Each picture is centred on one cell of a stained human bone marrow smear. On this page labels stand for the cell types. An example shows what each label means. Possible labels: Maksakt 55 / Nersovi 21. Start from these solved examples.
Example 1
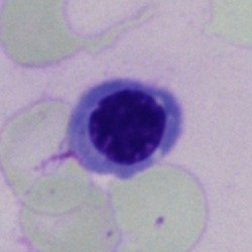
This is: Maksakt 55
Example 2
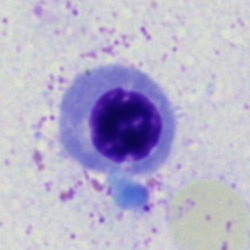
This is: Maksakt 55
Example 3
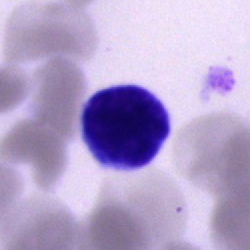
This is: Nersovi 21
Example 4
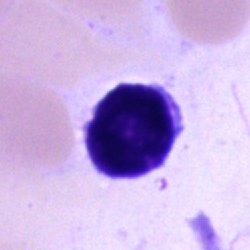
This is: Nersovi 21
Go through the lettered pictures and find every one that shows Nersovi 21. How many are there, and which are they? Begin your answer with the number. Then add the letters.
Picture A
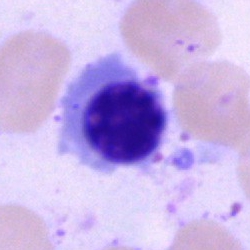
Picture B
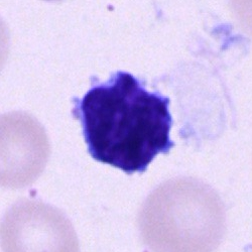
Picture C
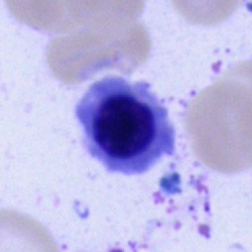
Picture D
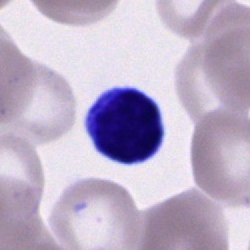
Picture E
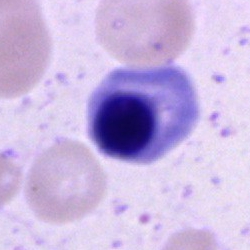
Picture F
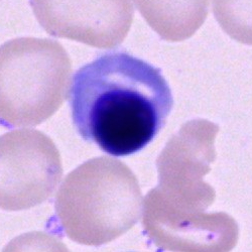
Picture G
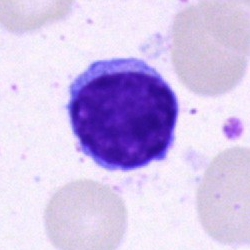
3: B, D, G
